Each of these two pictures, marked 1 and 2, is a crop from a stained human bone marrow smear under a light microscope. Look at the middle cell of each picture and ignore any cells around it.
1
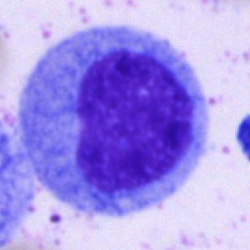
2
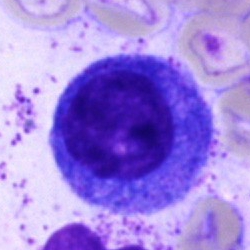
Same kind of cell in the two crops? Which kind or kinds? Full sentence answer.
Yes, both crops show promyelocytes, with no exception.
